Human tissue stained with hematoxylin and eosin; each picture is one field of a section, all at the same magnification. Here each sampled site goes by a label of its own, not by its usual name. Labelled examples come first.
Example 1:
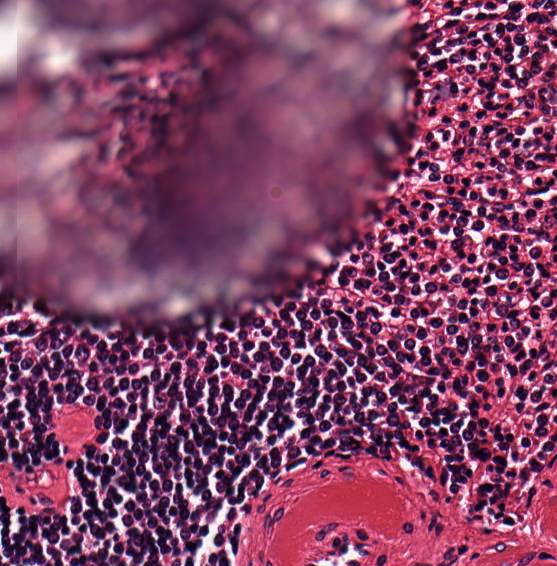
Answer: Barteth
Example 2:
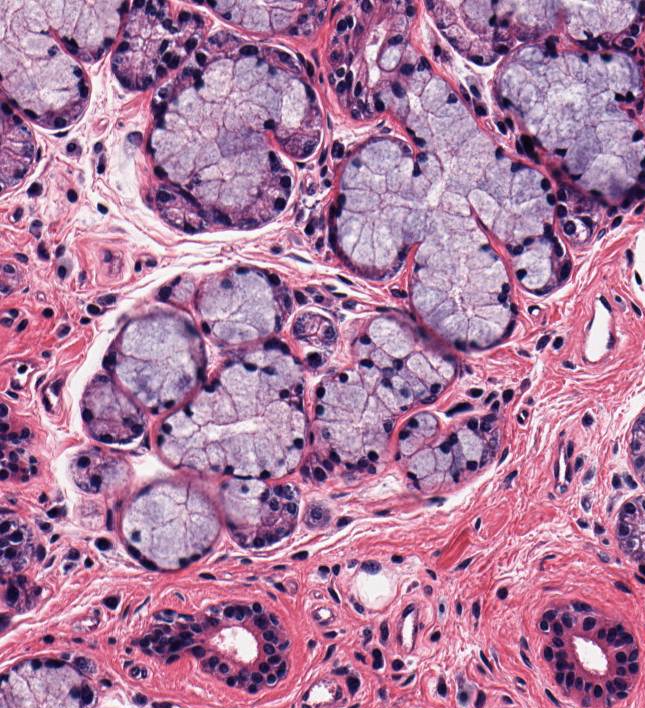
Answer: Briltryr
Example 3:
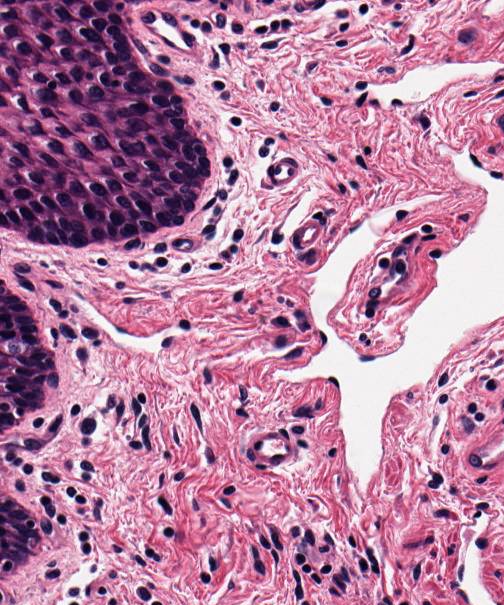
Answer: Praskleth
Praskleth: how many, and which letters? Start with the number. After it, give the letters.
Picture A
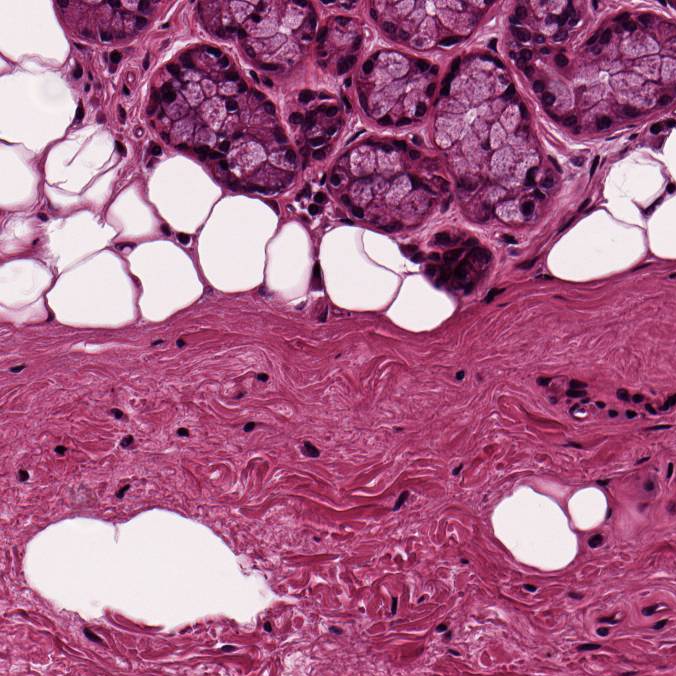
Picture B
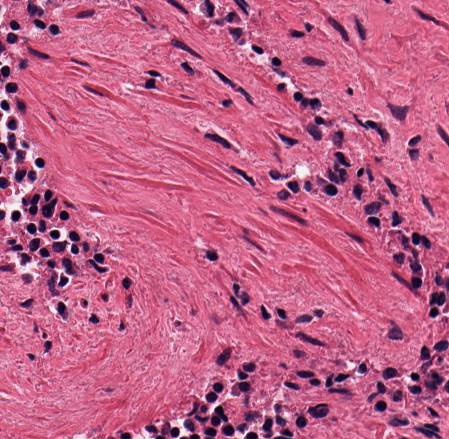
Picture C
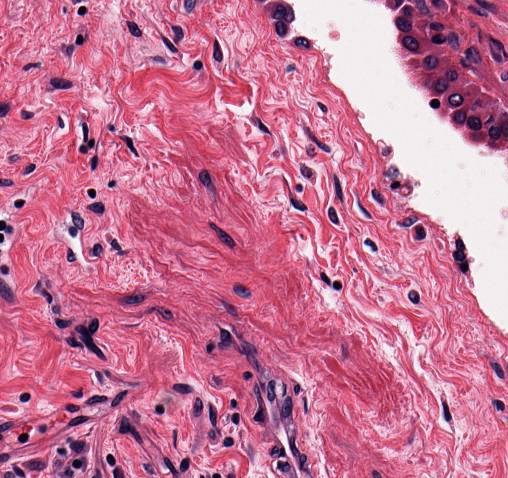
0, none of them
